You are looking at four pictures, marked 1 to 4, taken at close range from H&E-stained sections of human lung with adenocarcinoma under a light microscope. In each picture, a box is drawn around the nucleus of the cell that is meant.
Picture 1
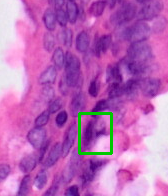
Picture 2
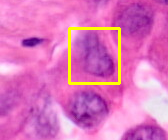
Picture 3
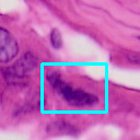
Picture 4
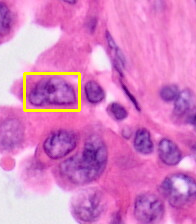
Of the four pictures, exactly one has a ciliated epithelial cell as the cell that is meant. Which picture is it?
1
